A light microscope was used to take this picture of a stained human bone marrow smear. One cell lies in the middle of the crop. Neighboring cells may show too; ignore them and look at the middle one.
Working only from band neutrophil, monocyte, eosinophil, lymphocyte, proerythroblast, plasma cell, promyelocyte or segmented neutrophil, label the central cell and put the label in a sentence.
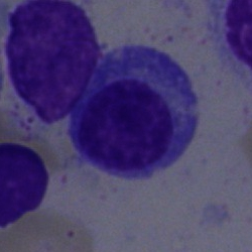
The cell of interest, in the center, is a plasma cell.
